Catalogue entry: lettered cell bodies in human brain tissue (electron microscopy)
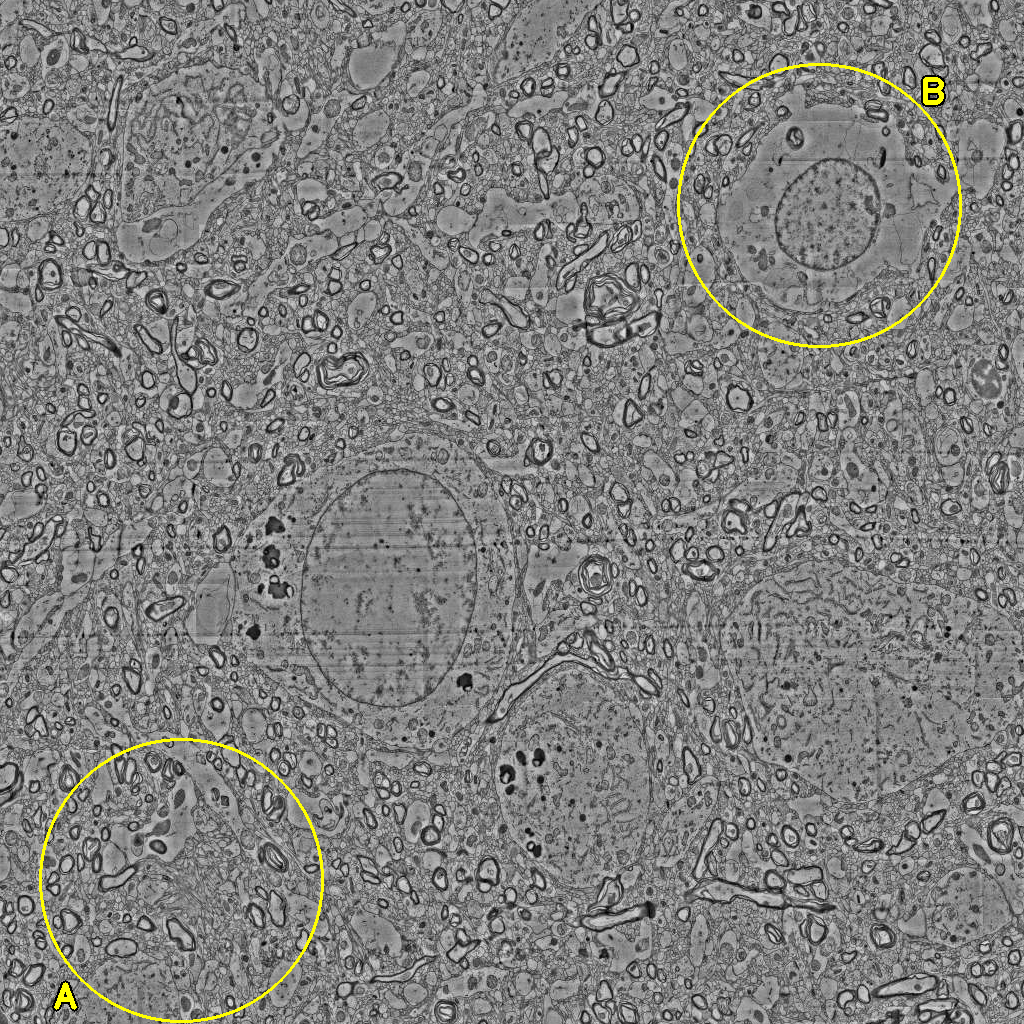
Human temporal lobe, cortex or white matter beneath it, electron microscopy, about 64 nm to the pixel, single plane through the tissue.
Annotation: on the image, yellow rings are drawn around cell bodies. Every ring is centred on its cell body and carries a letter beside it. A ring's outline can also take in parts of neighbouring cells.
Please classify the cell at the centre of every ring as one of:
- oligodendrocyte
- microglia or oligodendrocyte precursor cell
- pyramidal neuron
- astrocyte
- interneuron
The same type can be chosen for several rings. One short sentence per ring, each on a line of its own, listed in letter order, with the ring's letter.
Ring A is classified as an oligodendrocyte.
Ring B is classified as an astrocyte.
